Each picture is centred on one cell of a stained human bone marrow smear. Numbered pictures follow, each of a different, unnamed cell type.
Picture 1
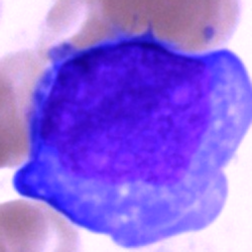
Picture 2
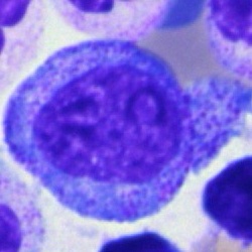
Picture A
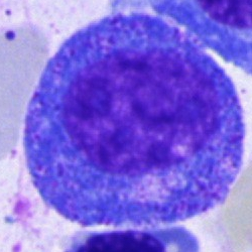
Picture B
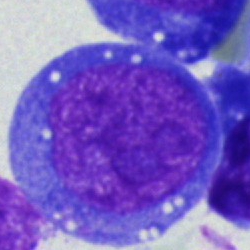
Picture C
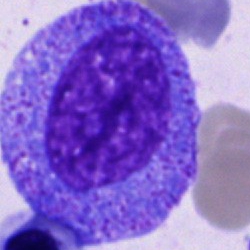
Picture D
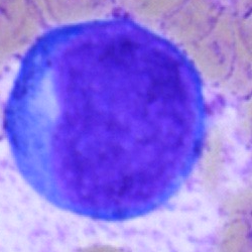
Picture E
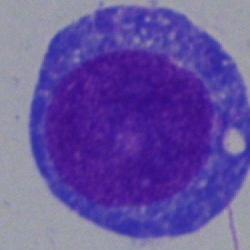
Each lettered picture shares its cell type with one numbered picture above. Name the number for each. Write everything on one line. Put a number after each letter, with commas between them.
A 2, B 1, C 2, D 1, E 1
